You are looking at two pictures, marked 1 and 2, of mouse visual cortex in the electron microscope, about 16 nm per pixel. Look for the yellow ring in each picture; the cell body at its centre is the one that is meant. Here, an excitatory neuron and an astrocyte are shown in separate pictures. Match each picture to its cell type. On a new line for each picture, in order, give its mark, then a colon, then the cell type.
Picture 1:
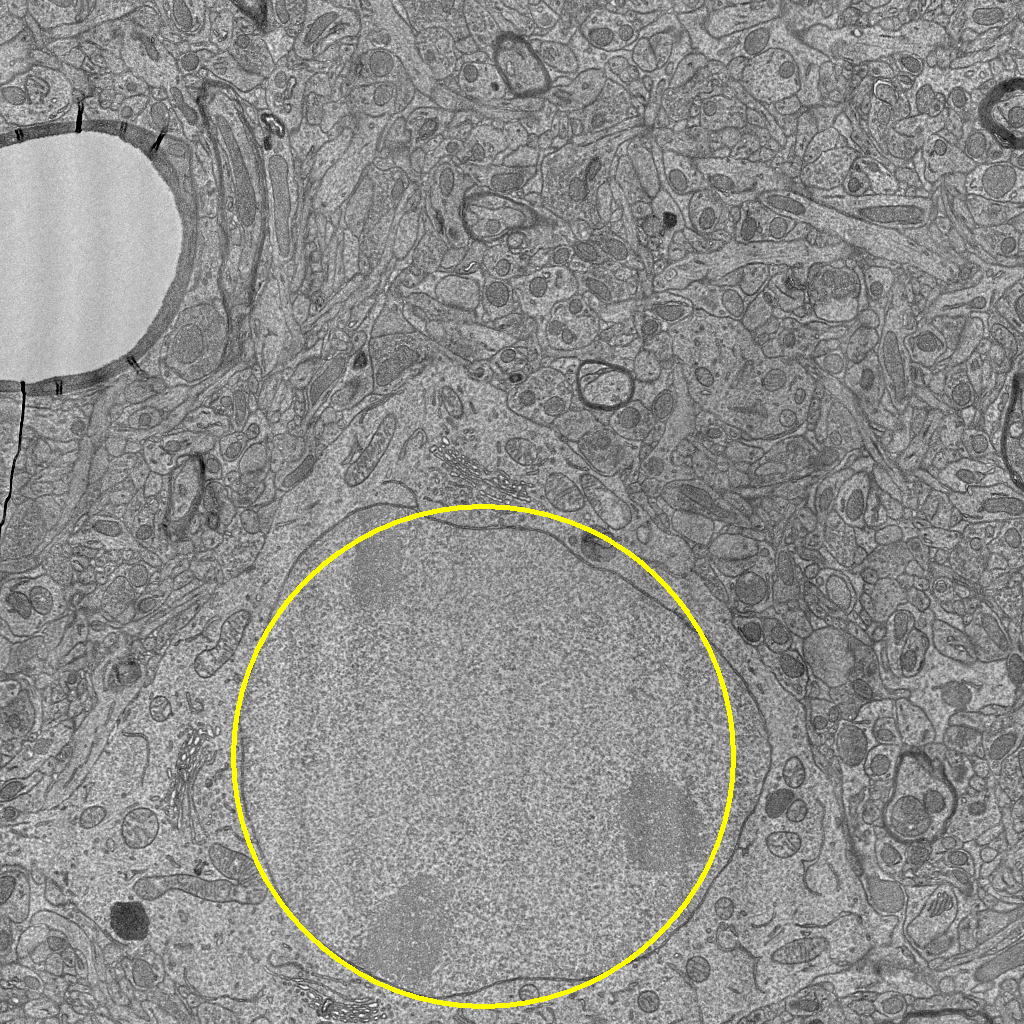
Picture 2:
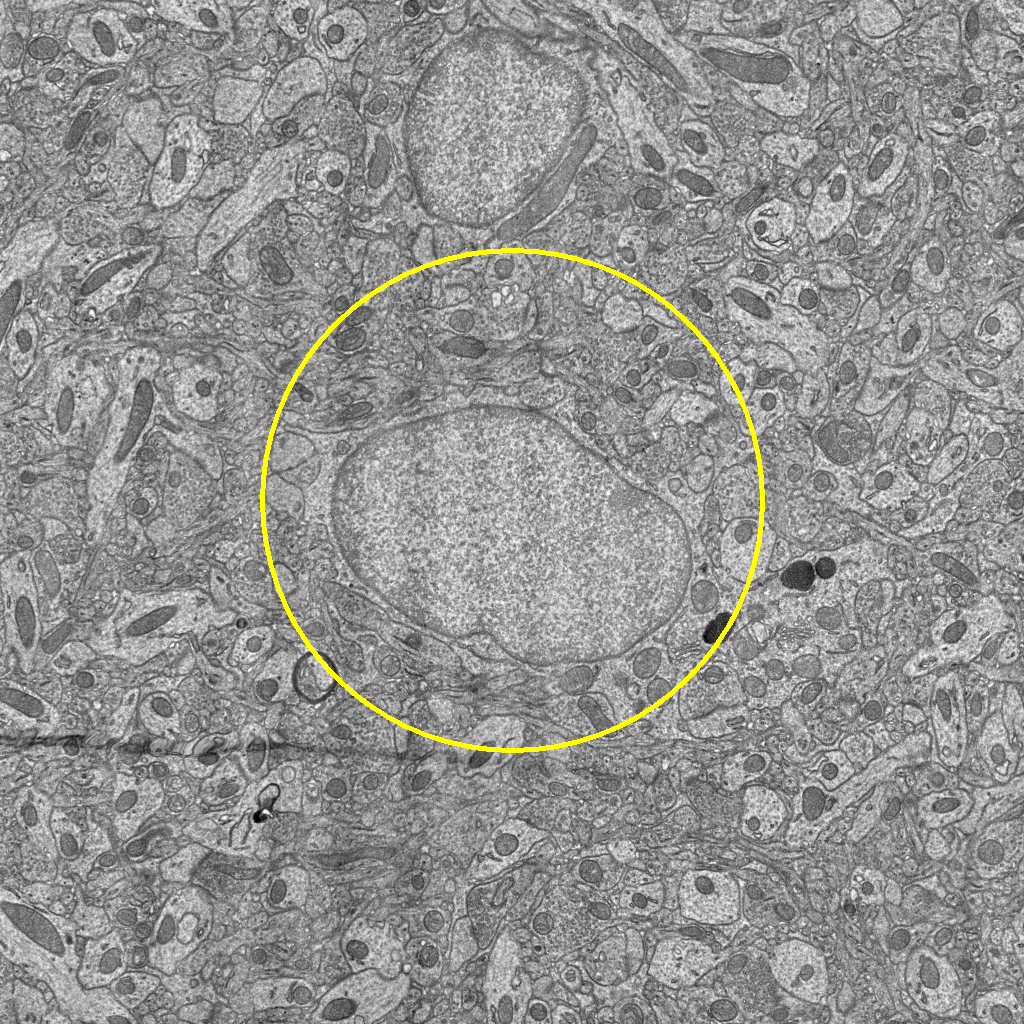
1: excitatory neuron
2: astrocyte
